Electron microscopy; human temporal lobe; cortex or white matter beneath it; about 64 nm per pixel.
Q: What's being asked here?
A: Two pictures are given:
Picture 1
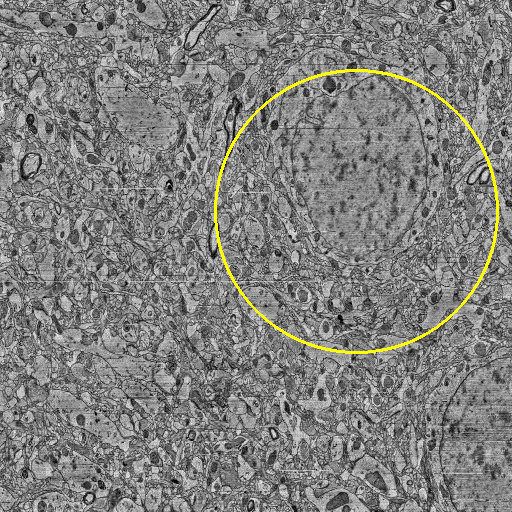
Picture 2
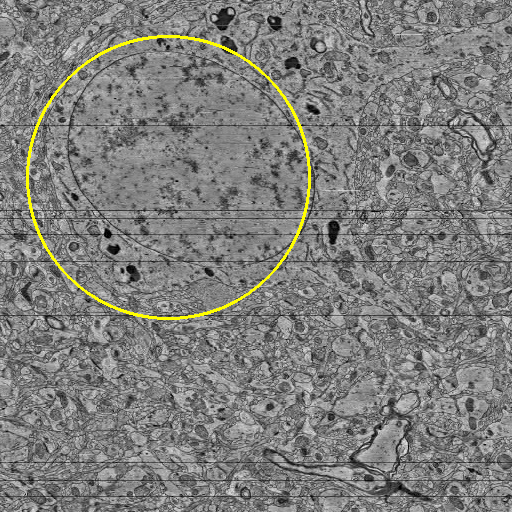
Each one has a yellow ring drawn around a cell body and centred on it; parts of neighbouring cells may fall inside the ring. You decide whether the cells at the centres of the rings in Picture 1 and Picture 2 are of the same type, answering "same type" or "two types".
two types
